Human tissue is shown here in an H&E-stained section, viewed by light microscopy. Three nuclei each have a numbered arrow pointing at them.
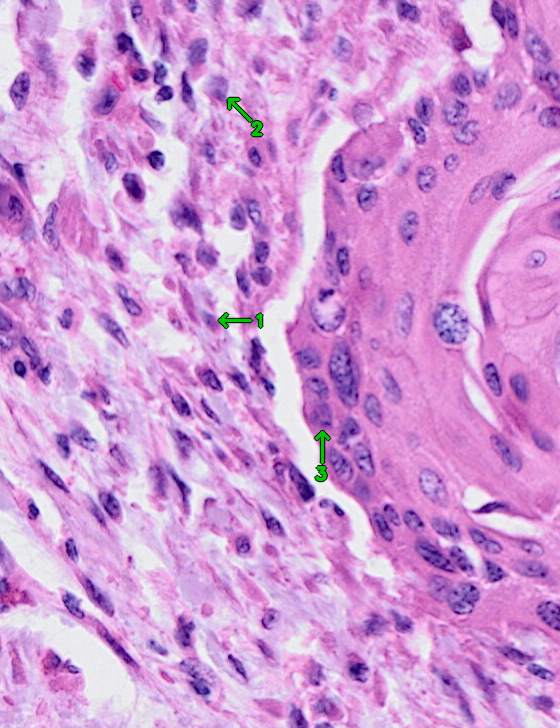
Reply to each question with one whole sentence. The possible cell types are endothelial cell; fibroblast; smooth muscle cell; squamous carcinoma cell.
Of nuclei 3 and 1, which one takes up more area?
The larger nucleus is 3, at roughly 3 times the area of 1.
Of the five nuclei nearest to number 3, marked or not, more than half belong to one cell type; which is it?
The majority of the five nuclei closest to number 3 belong to squamous carcinoma cells.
